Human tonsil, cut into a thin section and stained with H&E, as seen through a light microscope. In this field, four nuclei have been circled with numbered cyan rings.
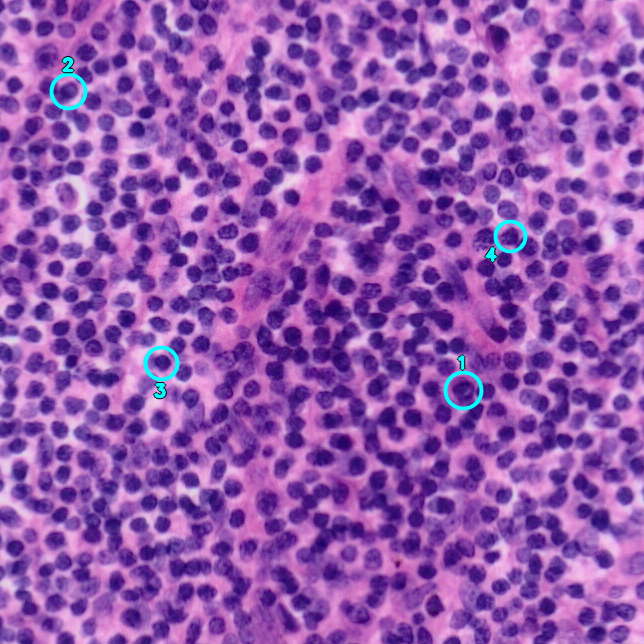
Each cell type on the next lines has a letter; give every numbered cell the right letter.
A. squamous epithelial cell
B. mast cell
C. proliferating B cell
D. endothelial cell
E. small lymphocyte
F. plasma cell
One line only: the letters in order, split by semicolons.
F; E; E; E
